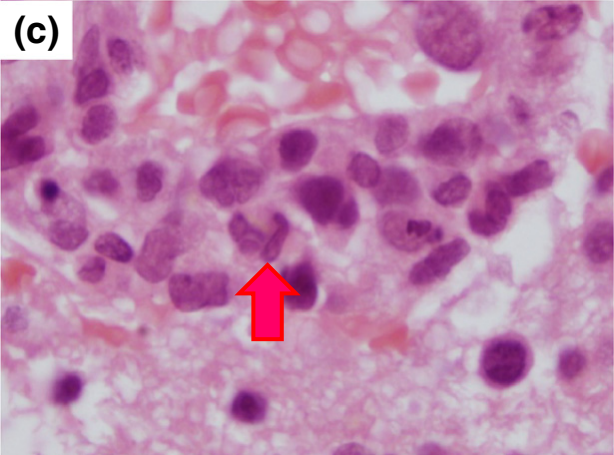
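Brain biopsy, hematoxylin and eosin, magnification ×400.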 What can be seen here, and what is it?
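At high power, crowded cells with large, oval, purple nuclei lie in a pale pink fibrillary background, beside red blood cells. Scattered among them are cells with dark, condensed chromatin suggesting mitotic figures.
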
